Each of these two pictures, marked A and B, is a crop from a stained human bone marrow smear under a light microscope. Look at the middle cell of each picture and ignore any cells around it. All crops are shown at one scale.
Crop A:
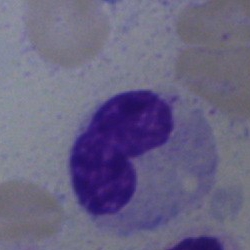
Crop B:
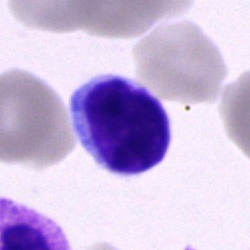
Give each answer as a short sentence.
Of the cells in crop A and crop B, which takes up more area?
It is the cell in crop A, about 2 times as large in area as the cell in crop B.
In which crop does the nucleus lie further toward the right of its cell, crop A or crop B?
The nucleus in crop B lies further toward the right of its cell.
